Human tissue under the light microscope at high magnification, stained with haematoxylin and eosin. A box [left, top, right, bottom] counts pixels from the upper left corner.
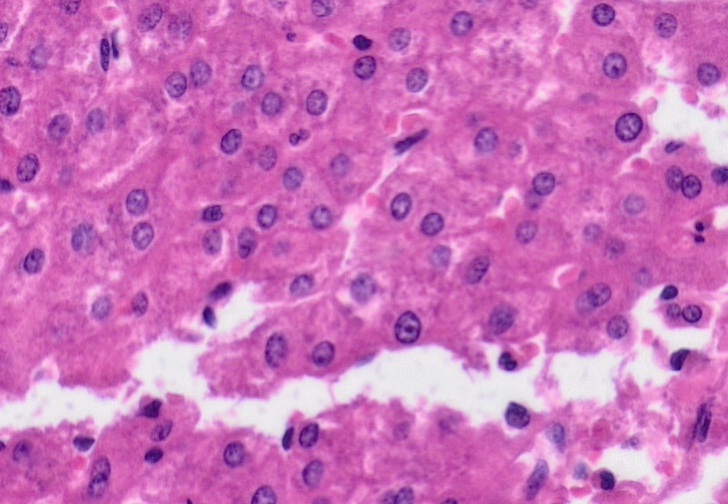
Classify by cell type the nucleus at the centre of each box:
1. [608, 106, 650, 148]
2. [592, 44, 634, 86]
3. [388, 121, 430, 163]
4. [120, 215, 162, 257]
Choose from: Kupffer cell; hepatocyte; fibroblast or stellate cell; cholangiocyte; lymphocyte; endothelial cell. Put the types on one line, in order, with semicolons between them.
hepatocyte; hepatocyte; Kupffer cell; hepatocyte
